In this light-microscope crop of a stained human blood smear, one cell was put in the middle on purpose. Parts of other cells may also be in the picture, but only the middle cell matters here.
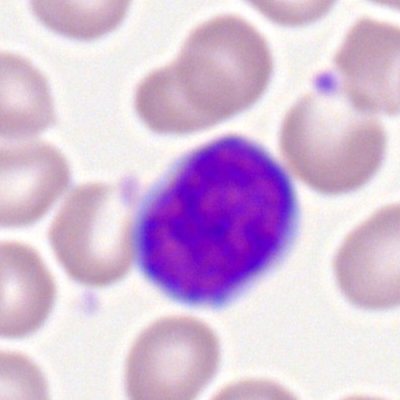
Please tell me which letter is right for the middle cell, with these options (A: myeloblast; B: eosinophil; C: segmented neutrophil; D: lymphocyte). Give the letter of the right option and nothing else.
D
